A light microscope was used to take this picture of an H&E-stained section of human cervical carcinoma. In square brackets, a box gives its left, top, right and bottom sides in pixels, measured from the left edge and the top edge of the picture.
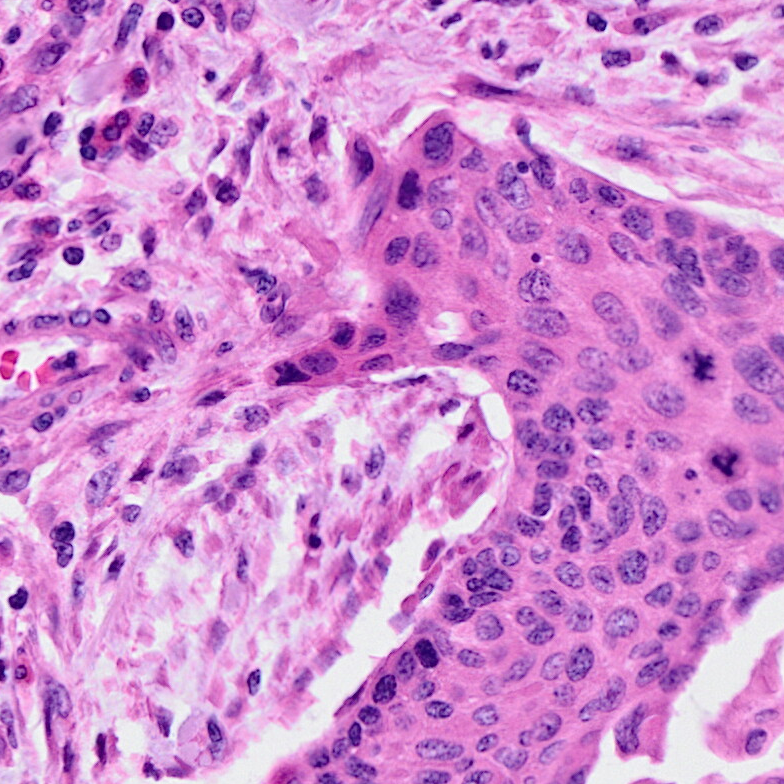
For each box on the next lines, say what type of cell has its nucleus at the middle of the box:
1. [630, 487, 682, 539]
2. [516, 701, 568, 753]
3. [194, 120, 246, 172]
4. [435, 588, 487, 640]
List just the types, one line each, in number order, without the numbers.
squamous carcinoma cell
squamous carcinoma cell
fibroblast
squamous carcinoma cell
